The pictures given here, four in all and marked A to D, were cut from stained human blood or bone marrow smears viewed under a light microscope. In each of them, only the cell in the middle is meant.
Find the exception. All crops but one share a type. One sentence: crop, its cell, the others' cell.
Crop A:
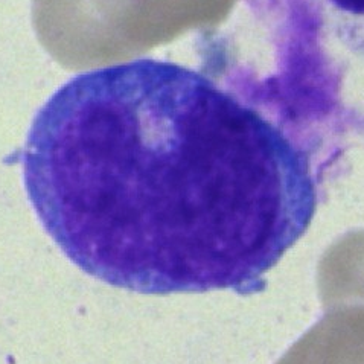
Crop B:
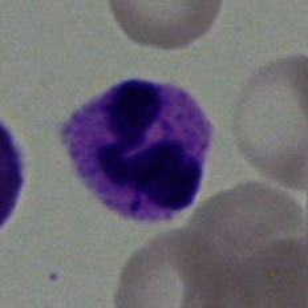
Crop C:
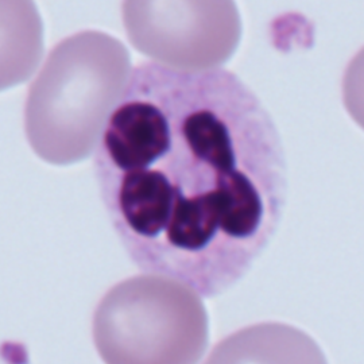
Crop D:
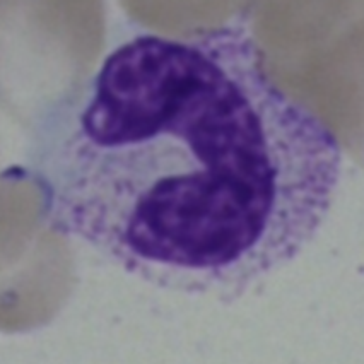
All the crops contain neutrophils save crop A, where there is a monocyte.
